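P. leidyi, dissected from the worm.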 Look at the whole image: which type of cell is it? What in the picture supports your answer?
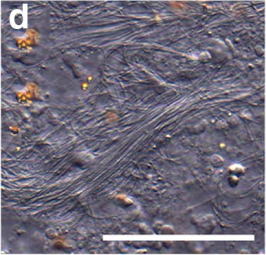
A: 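Many very long, thin thread-like cells. The threads lie together in wavy bundles. Small scattered granules and debris lie between them.
Sperm.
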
